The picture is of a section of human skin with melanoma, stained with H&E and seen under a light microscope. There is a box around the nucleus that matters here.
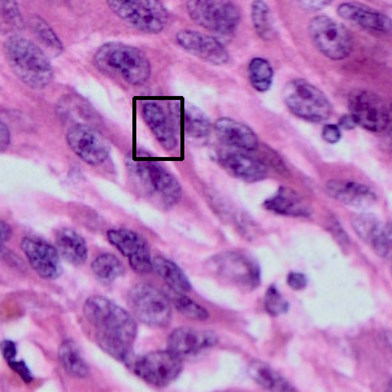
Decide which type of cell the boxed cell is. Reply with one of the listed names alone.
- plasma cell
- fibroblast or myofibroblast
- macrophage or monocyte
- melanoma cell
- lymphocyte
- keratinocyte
melanoma cell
